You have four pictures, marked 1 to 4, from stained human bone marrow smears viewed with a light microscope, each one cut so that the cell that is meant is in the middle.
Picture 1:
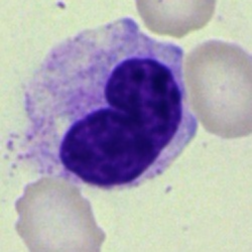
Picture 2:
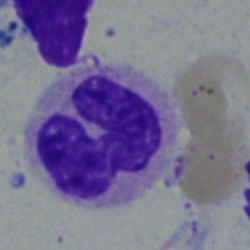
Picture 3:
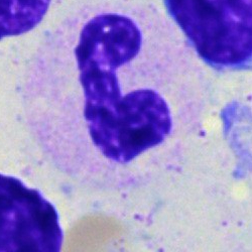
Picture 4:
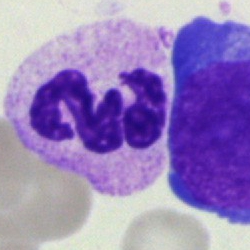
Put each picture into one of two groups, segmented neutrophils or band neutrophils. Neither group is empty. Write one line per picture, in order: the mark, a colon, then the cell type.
1: band neutrophil
2: band neutrophil
3: band neutrophil
4: segmented neutrophil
